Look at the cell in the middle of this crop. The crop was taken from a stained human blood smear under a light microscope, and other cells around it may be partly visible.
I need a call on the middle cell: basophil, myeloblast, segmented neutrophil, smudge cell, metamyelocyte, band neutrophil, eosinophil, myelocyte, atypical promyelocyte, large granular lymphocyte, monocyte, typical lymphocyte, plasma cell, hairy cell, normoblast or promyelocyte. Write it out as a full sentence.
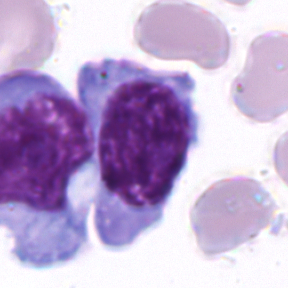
Standing at the centre of this crop is a plasma cell.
